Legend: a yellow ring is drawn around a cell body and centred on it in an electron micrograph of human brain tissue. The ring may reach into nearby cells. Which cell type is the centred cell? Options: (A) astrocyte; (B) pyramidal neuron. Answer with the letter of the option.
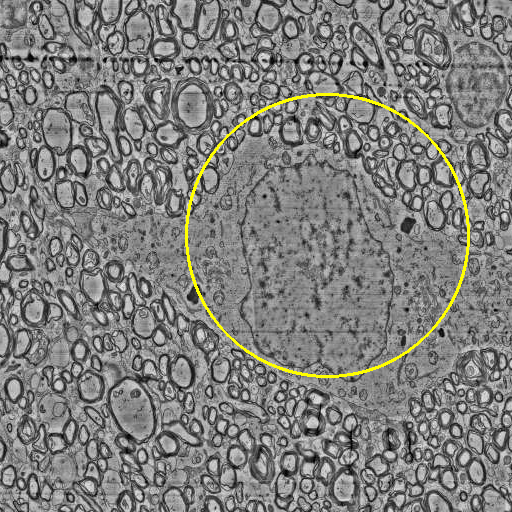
B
